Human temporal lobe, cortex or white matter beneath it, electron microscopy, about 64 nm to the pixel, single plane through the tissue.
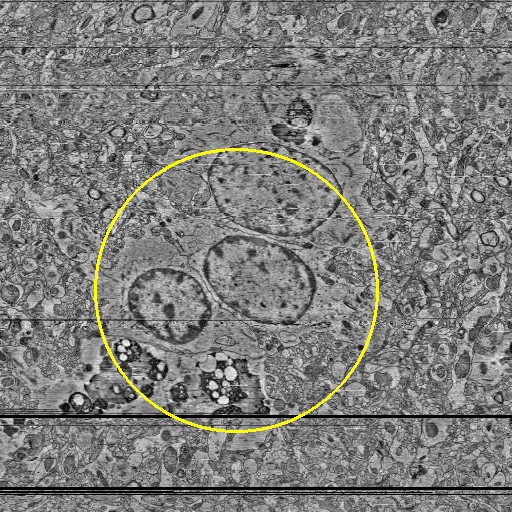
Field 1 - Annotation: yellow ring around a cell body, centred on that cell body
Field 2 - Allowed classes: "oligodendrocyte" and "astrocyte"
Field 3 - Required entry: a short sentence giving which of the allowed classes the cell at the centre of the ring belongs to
The centred cell is an astrocyte.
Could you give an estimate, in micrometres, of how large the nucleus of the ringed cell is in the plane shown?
The nucleus works out at approximately 7 by 5 micrometres in this plane.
